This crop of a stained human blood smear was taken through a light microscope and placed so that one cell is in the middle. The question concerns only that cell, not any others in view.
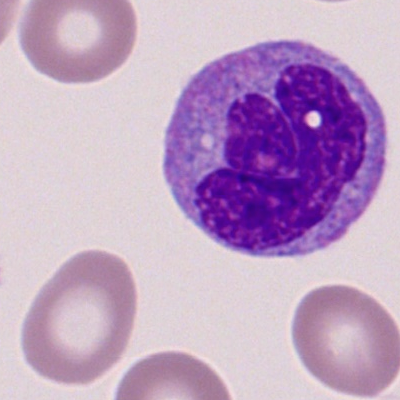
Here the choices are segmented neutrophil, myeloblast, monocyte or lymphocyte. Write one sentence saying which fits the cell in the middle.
The centrally positioned cell in the crop represents a monocyte.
